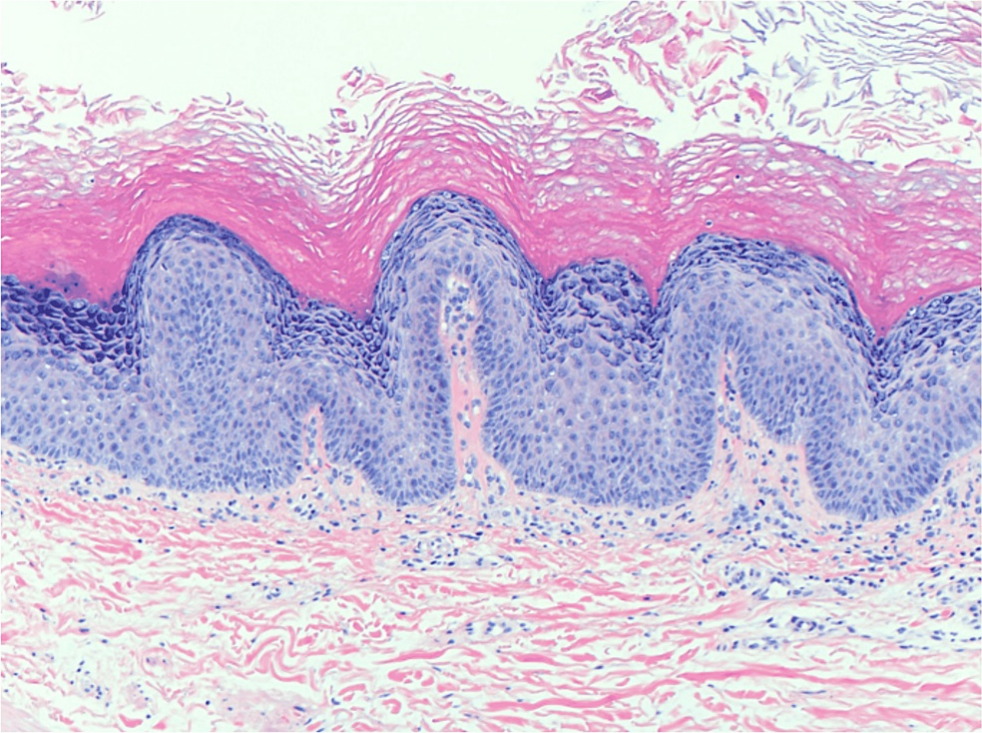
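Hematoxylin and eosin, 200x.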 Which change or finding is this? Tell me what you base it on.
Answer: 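A thick, bright pink, layered keratin sheet covers the whole epidermal surface.
Hence: hyperkeratosis.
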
